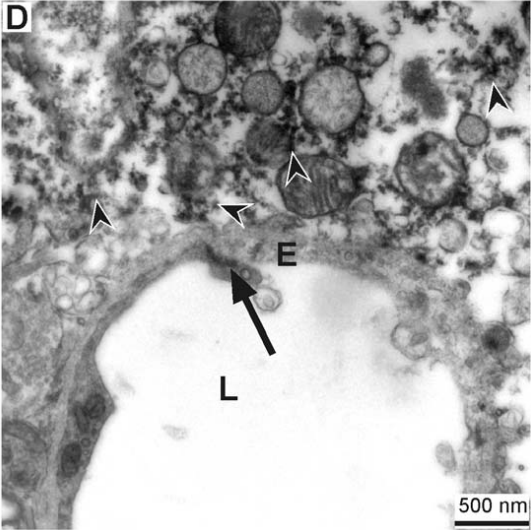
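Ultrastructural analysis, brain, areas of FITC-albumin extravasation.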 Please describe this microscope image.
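A vessel with a pale lumen is lined by a thin endothelial layer with a dense junctional contact between cell margins. The surrounding neuropil is loosened and pale, with rounded swollen profiles, mitochondria and fragmented membranes scattered about. Fine black granular deposits lie throughout the tissue outside the vessel.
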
